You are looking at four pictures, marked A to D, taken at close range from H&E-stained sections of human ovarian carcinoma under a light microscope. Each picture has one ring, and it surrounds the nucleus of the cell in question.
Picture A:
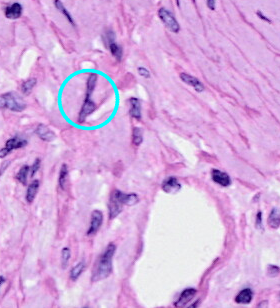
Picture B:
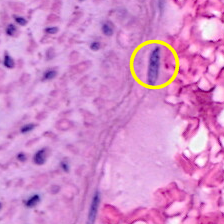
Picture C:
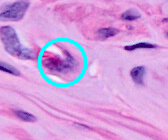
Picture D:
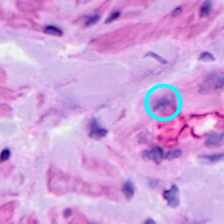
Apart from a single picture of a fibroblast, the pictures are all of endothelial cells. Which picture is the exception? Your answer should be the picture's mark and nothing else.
A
